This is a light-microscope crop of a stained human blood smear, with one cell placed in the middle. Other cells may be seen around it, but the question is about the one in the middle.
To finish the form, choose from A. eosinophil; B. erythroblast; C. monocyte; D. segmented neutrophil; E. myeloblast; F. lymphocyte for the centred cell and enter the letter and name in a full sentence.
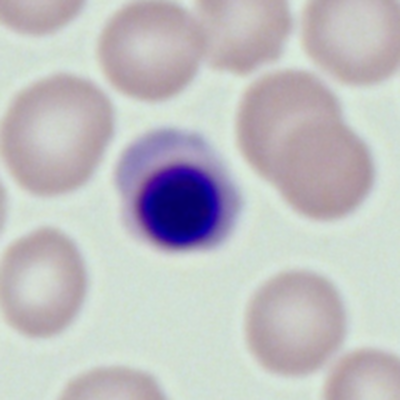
According to option B, which is correct, the cell in the middle is an erythroblast.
